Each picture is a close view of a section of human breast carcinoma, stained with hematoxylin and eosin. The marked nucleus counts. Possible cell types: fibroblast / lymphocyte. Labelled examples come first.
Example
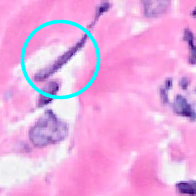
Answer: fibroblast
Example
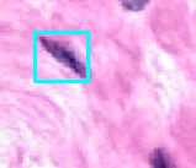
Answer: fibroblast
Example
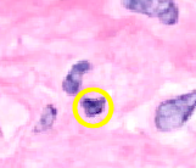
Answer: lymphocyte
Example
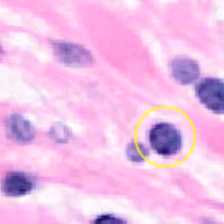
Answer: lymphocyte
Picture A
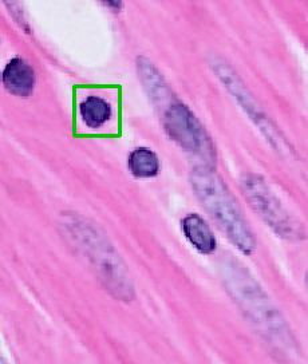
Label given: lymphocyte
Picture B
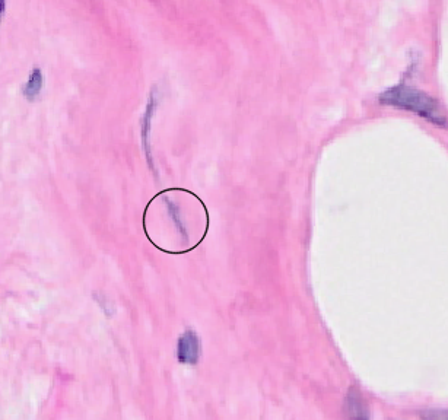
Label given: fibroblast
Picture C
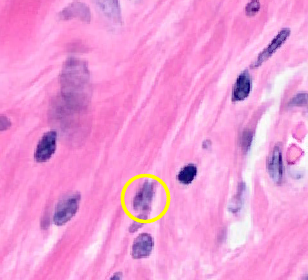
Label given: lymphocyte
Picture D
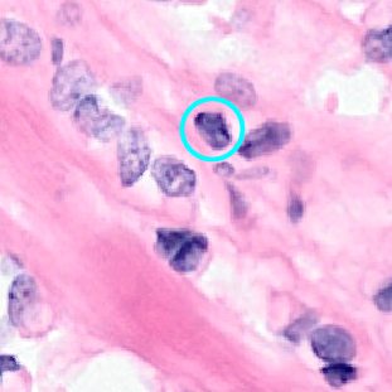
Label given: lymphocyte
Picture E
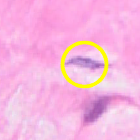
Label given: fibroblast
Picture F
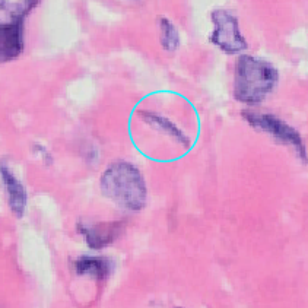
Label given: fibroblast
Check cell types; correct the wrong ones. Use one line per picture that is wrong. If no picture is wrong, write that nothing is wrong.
None of the labels needs changing.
